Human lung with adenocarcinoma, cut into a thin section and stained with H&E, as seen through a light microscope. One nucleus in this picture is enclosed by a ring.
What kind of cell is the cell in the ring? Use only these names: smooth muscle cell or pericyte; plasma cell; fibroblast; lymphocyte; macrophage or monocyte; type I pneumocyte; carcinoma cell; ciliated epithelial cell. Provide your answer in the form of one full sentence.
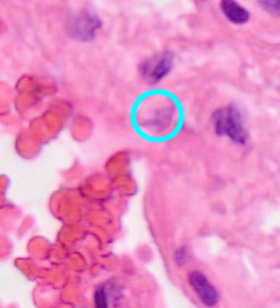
The identity of the cell in the ring: it is a fibroblast.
